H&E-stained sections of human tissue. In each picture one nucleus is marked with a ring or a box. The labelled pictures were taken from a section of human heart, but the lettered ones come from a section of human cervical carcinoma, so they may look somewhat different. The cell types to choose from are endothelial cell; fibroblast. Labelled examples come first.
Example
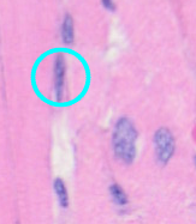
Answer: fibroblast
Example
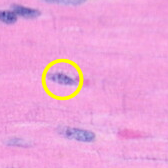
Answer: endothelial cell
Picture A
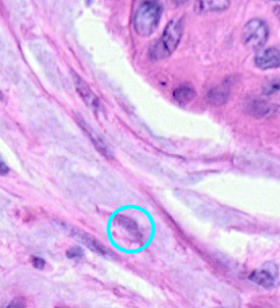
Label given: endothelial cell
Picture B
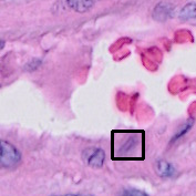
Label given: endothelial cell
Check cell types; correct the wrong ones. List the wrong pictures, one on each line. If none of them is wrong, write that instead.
A: fibroblast, not endothelial cell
